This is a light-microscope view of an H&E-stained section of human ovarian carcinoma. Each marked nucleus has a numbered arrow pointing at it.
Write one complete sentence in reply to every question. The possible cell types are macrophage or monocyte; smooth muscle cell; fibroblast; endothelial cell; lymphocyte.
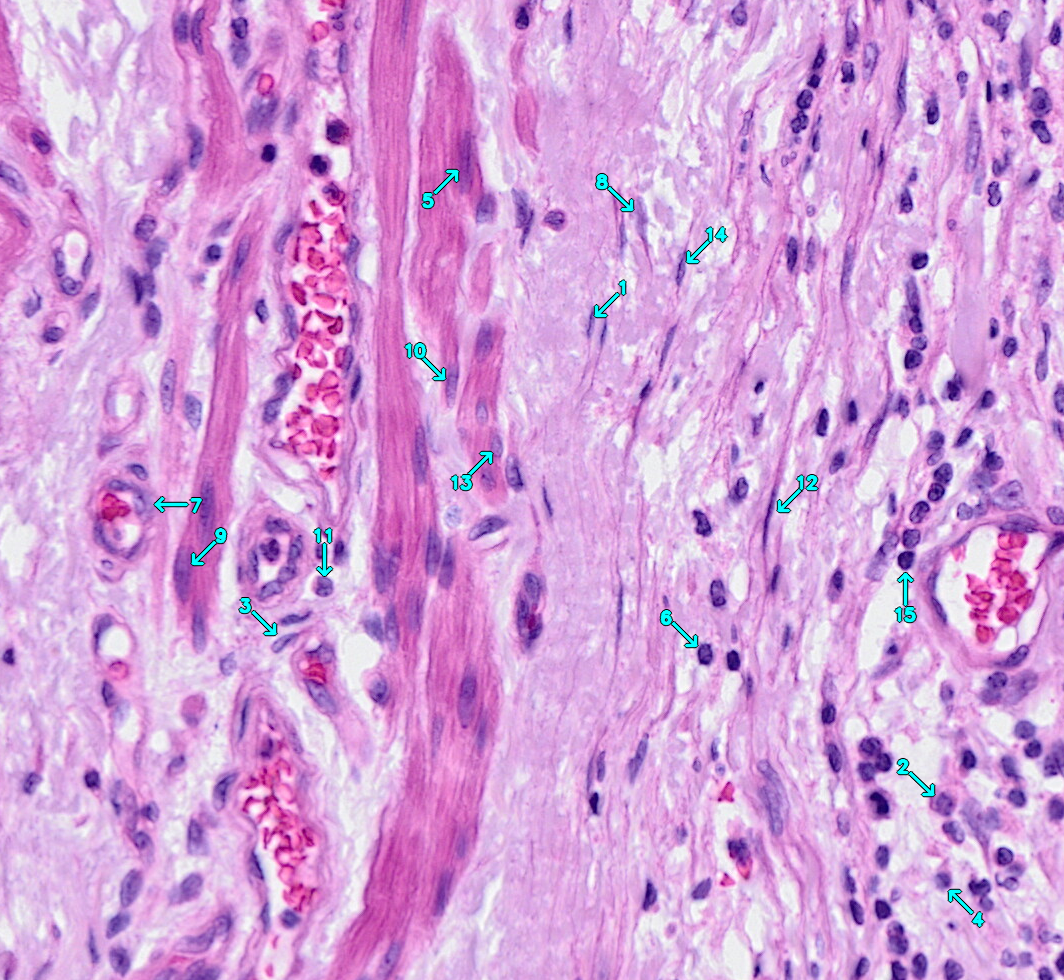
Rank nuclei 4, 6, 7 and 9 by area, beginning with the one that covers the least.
By area, going up from the smallest, they rank 4, 6, 7, 9.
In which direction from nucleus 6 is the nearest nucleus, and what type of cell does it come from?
The nearest nucleus is that of a lymphocyte and lies to the right of nucleus 6.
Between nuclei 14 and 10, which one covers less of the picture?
It is nucleus 14; nucleus 10 has about 1.5 times its area.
